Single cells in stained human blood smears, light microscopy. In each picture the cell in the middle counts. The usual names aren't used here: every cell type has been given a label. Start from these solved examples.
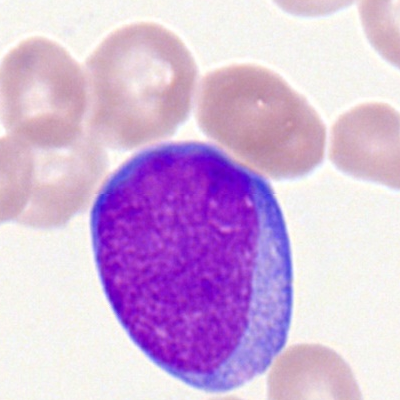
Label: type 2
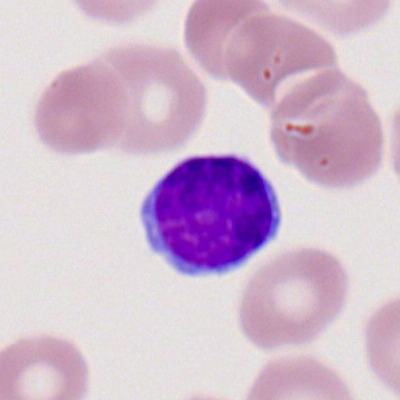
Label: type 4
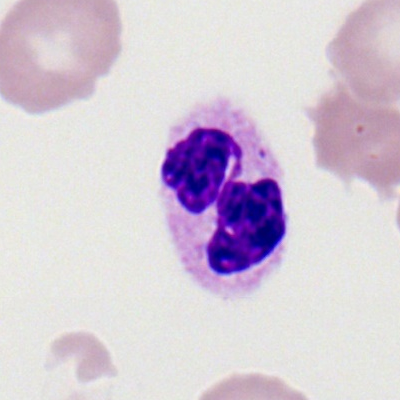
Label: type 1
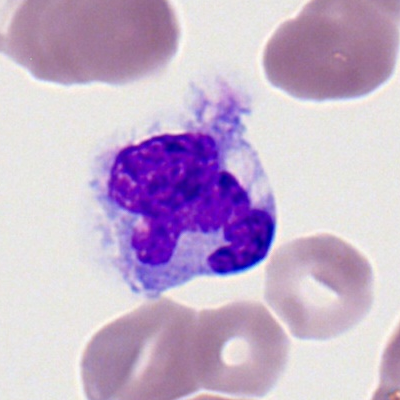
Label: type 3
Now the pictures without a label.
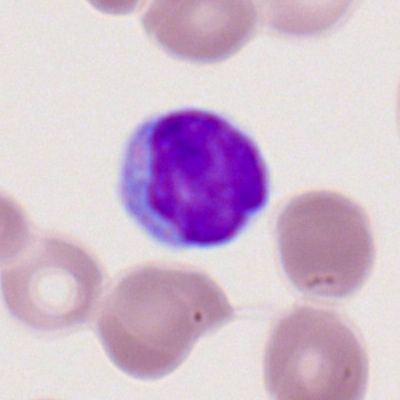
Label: type 4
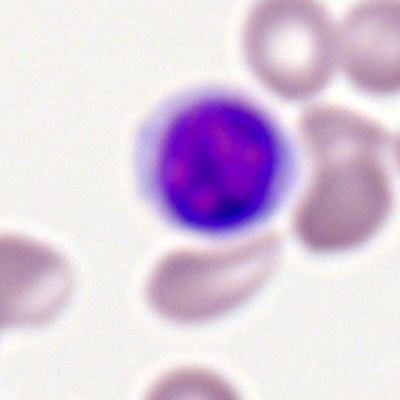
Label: type 4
